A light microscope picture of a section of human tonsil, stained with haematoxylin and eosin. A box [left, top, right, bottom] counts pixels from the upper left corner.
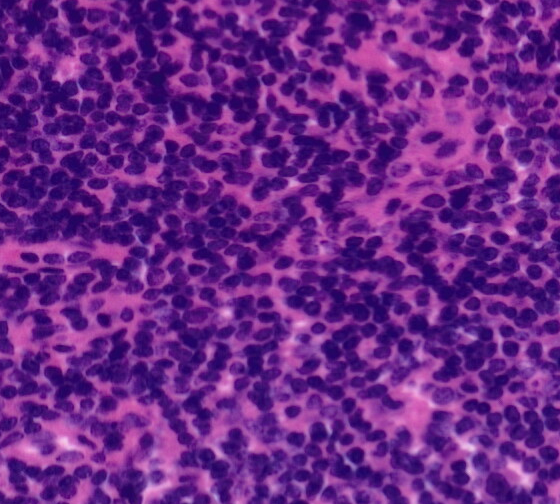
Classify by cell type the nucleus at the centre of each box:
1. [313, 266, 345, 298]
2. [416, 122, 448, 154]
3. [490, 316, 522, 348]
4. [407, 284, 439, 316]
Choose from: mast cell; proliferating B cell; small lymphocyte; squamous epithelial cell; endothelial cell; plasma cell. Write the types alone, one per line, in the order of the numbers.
small lymphocyte
endothelial cell
small lymphocyte
small lymphocyte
